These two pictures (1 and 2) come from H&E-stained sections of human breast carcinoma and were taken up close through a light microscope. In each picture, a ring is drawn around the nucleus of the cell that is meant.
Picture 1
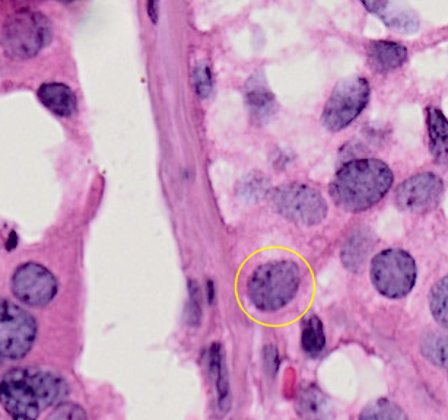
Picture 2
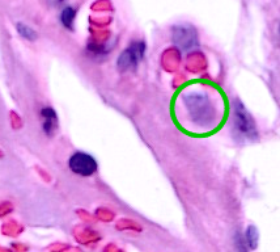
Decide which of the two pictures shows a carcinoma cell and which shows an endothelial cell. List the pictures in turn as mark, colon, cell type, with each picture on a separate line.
1: carcinoma cell
2: endothelial cell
